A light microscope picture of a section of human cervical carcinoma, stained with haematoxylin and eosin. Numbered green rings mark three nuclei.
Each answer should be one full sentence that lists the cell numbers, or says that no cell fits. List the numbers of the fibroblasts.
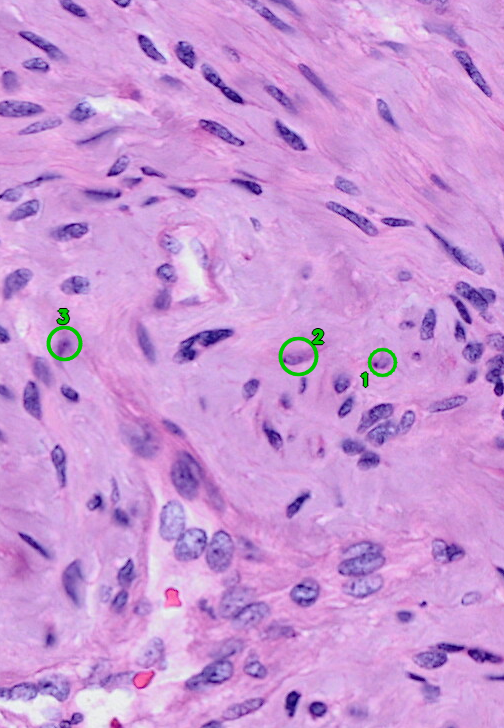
The nucleus labelled 3 alone belongs to a fibroblast; the other marked nuclei do not.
